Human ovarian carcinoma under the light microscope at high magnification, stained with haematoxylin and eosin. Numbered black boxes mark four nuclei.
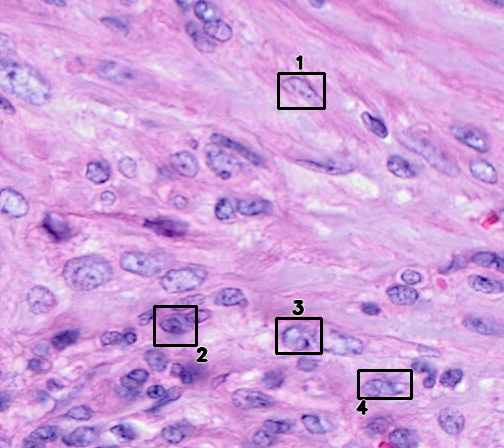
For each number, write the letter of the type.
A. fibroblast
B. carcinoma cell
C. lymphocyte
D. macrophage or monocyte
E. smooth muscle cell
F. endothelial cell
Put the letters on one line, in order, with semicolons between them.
A; F; A; A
